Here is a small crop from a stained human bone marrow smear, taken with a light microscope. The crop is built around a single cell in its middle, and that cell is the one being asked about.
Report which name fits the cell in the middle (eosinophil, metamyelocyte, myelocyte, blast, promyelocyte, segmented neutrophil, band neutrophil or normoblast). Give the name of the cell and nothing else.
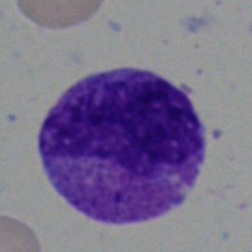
myelocyte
